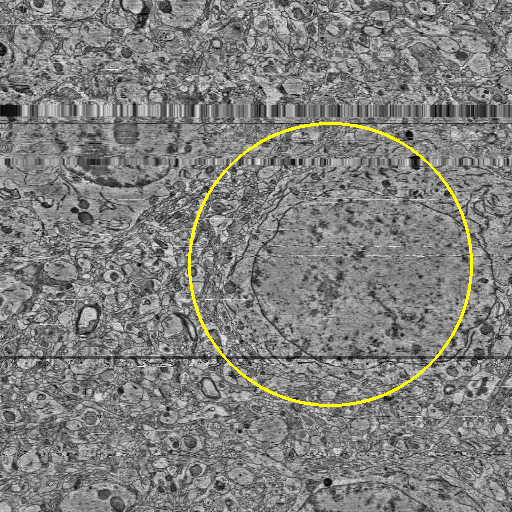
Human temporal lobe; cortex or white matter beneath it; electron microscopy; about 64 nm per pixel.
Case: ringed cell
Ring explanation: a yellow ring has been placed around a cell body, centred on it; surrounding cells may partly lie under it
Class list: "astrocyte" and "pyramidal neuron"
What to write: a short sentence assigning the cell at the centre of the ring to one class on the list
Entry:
The cell at the ring's centre is a pyramidal neuron.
